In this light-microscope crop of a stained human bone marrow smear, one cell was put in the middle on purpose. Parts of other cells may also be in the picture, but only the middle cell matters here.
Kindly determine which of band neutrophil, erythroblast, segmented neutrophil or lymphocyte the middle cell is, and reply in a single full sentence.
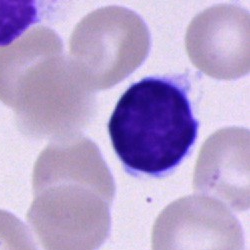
For this crop, the cell in the middle is a lymphocyte.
